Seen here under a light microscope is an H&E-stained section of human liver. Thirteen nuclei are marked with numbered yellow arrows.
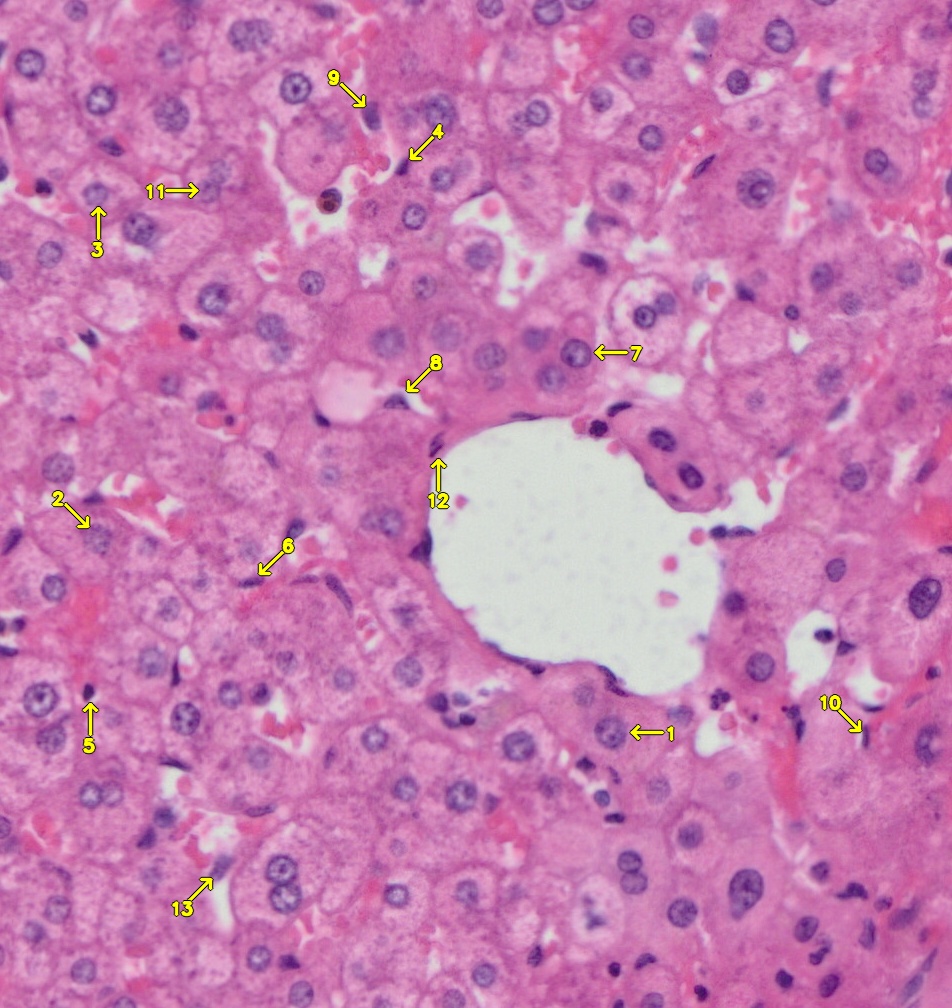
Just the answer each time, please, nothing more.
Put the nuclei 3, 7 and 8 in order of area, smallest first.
8, 3, 7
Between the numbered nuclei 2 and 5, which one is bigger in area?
2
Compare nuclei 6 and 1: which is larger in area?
1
